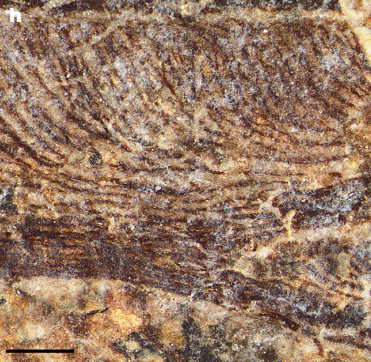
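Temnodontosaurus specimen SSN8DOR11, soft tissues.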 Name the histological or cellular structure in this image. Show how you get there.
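Numerous long brown strands run roughly parallel. The strands are grouped into bands that curve and change direction. On this evidence: Structural fibre bundle.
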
